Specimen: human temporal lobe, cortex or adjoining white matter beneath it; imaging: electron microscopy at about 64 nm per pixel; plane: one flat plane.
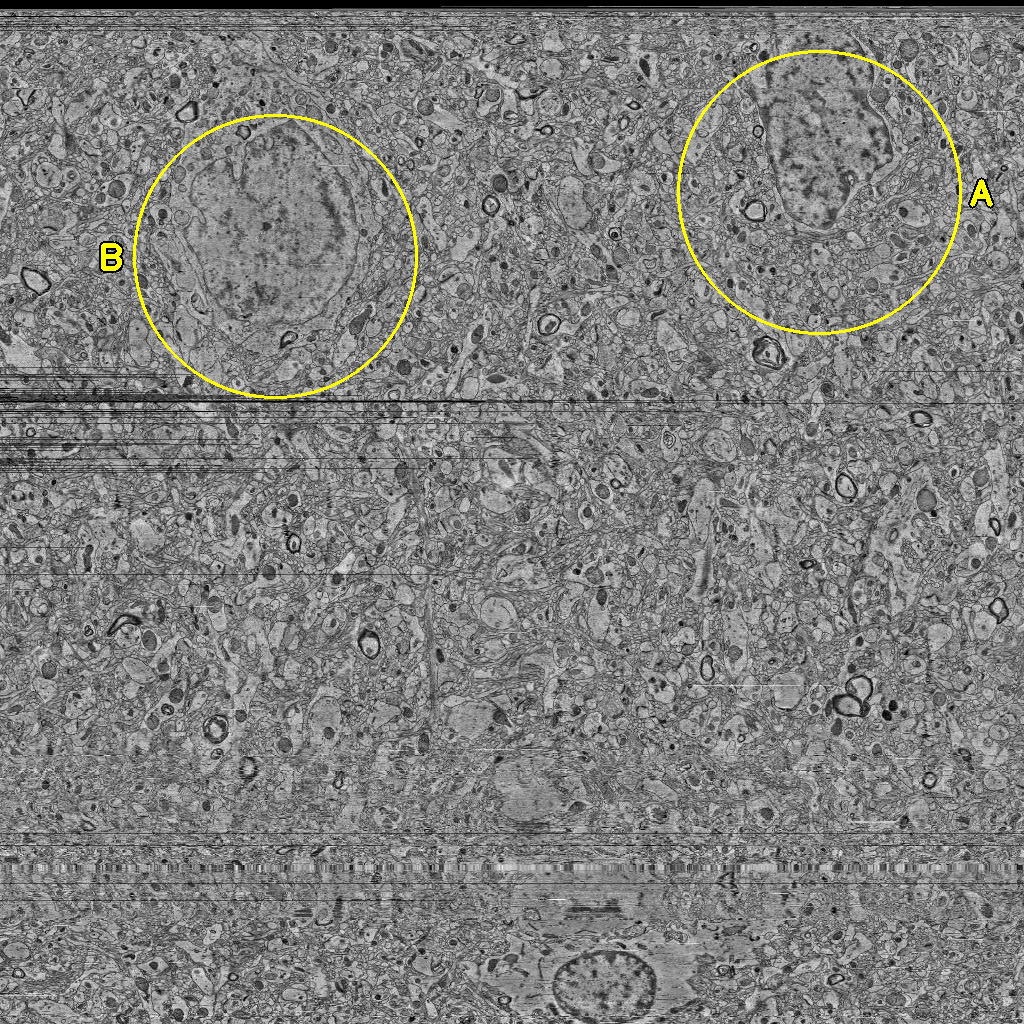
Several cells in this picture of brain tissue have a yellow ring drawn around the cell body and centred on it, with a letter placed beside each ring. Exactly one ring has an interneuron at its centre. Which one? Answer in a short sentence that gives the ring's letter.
Ring B is centred on it.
